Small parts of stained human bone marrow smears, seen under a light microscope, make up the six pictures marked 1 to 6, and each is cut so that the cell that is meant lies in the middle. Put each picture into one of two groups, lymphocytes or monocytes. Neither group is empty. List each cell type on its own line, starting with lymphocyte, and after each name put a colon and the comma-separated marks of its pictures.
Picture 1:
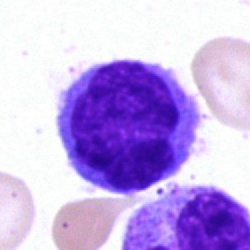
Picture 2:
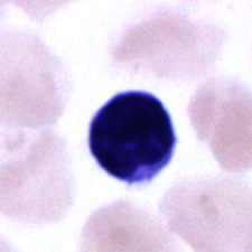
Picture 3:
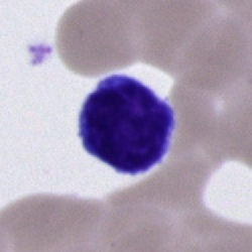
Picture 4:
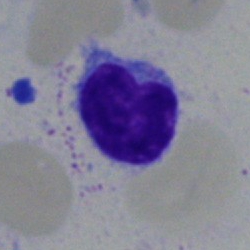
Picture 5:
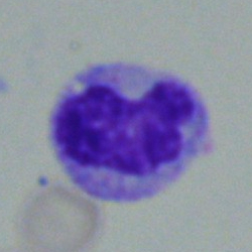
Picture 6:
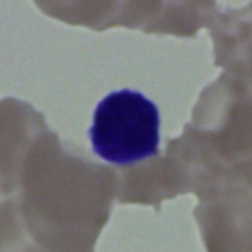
lymphocyte: 2, 3, 4, 6
monocyte: 1, 5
